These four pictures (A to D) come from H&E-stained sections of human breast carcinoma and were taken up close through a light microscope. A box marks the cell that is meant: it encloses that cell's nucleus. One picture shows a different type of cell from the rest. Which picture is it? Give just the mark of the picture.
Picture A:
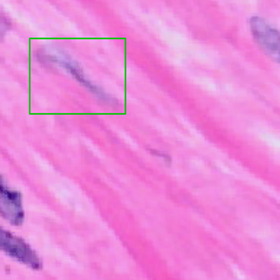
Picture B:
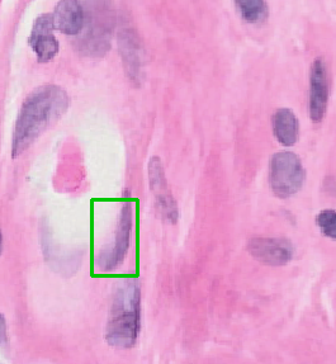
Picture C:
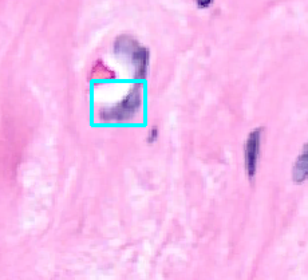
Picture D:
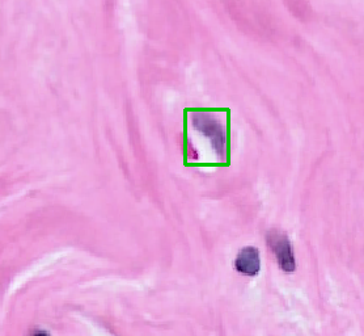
A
